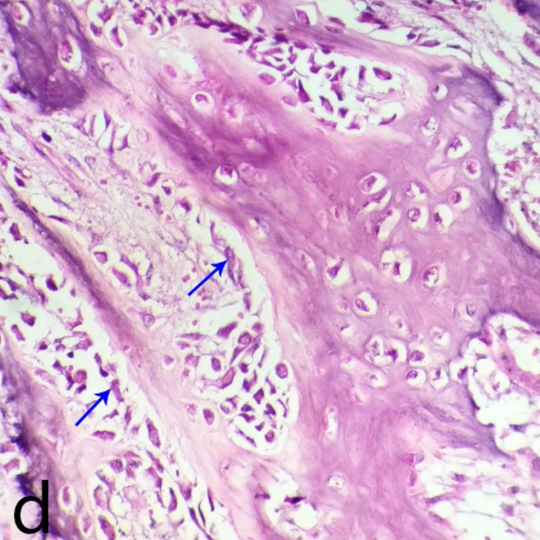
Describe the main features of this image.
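Bone tissue is shown with broad bands of pink matrix holding scattered cells in rounded lacunae. Along the edges of this matrix, spaces are filled with loose tissue, and plump cells with dark nuclei are crowded in rows lining the matrix surface. These lining cells are more numerous and fuller than the flat, inconspicuous cells of a quiet bone surface.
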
